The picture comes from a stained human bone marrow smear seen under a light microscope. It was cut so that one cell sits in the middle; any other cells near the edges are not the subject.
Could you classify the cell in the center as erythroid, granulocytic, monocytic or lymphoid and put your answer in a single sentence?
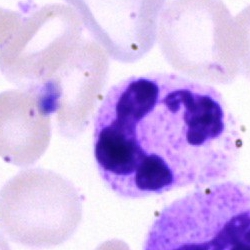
The centered cell is a member of the granulocytic lineage.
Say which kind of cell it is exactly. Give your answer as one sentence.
At the crop's centre, the cell is a segmented neutrophil.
